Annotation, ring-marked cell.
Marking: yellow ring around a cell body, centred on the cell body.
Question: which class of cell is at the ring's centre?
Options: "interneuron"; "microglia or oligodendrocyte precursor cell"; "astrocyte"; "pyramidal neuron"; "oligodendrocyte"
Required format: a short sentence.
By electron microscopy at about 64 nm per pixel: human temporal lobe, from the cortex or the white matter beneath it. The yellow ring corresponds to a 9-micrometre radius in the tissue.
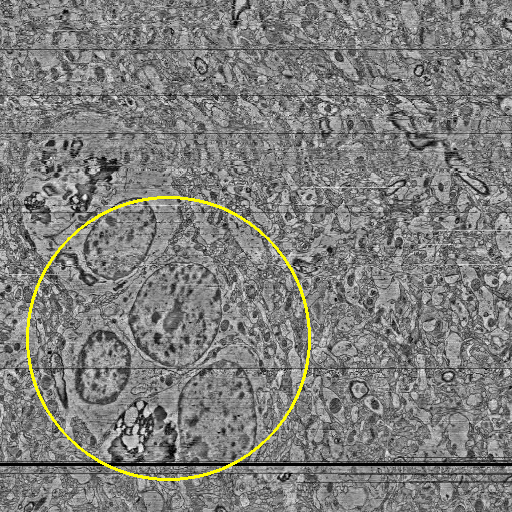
At the ring's centre is an astrocyte.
